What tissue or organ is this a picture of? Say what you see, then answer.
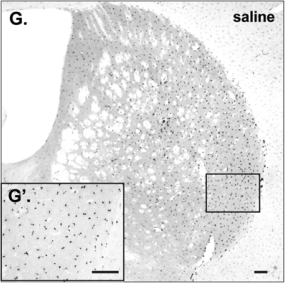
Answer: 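Grey matter is crossed by many small pale round bundles of fibres. The tissue sits beside a large empty space at the upper left, like a ventricle. That points to this answer: striatum.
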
